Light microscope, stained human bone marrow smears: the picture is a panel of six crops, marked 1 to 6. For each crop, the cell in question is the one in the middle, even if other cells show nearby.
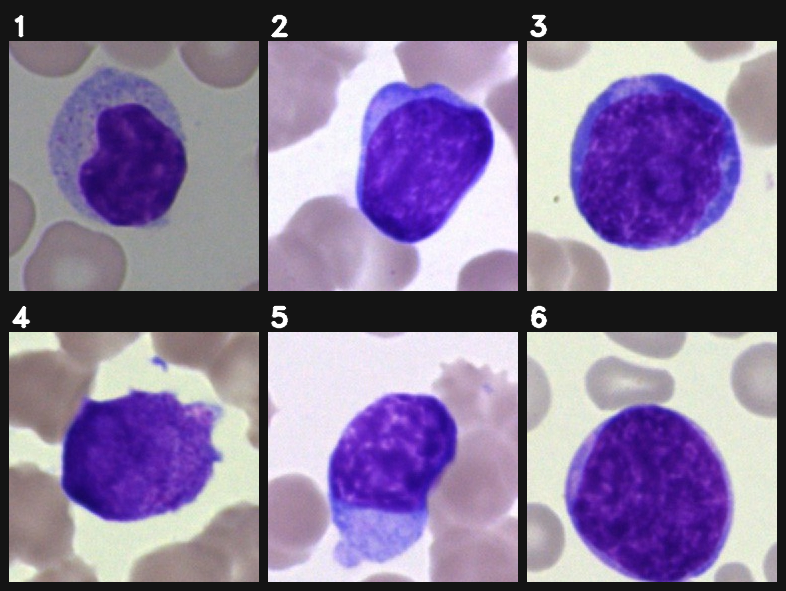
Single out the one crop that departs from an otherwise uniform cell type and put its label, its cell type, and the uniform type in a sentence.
In this set, all crops show blasts apart from crop 1, which is a lymphocyte.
